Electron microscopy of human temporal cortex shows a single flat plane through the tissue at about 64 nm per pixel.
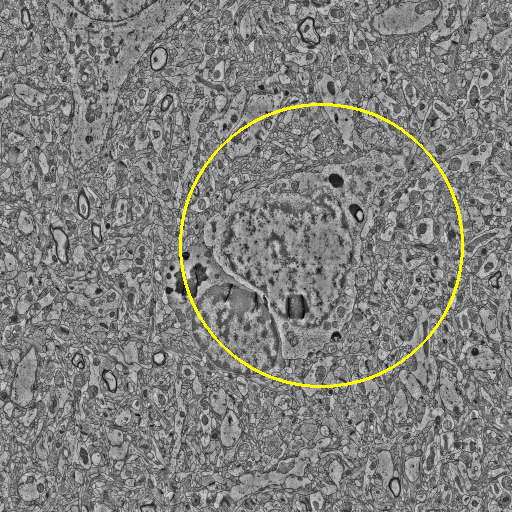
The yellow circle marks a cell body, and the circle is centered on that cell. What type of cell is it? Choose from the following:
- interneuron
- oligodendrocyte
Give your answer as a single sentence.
This cell body belongs to an interneuron.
